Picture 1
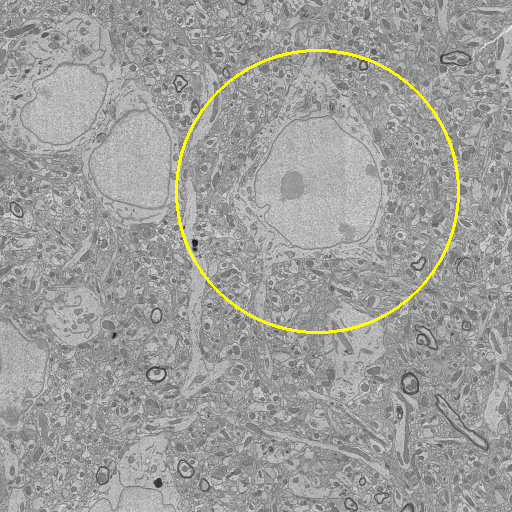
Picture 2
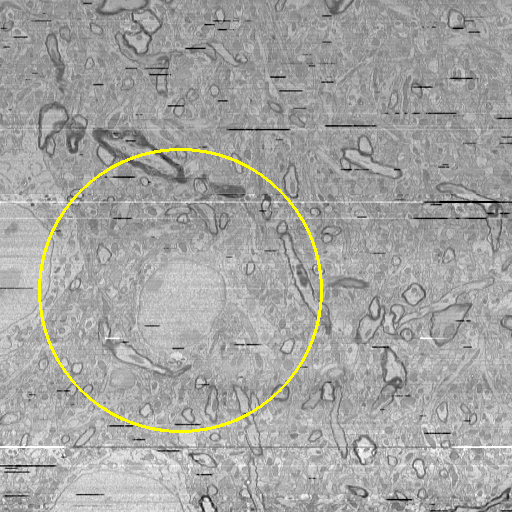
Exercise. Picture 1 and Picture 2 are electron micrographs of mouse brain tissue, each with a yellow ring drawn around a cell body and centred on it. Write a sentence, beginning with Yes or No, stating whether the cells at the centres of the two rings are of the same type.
No, the cells at the centres of the rings are of two types.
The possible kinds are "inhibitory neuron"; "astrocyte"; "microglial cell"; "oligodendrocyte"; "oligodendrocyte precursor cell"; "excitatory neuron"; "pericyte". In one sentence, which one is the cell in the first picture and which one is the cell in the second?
The cell ringed in the second picture is an astrocyte, whereas the one ringed in the first is an excitatory neuron.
